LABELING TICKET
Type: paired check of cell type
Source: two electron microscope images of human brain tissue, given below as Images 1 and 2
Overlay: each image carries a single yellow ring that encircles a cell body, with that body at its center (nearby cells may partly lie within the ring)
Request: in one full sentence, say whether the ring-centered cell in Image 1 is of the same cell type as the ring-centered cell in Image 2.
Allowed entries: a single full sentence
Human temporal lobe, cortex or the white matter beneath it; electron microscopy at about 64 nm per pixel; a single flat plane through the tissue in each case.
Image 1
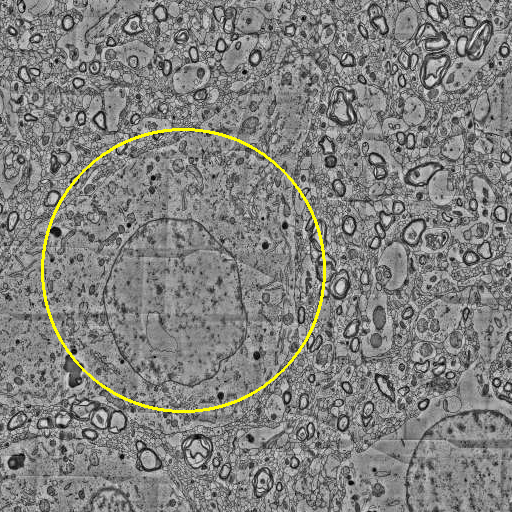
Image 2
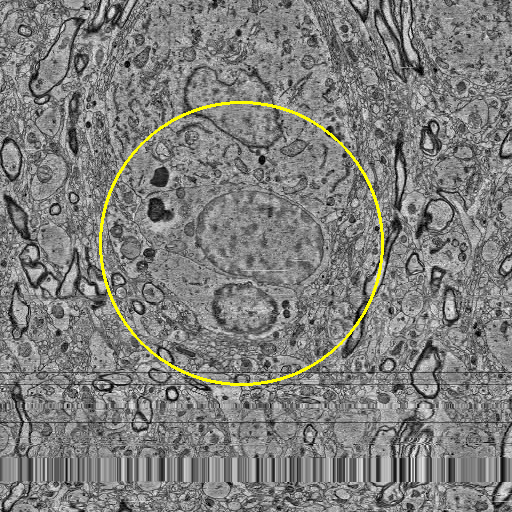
No, the cells centered in the rings of Image 1 and Image 2 are of two types.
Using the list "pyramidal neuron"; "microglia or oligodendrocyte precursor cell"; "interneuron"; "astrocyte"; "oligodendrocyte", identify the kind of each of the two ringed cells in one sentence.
The first is a pyramidal neuron and the second is an oligodendrocyte.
